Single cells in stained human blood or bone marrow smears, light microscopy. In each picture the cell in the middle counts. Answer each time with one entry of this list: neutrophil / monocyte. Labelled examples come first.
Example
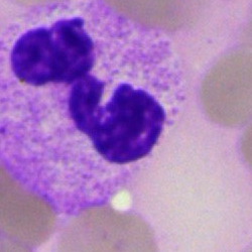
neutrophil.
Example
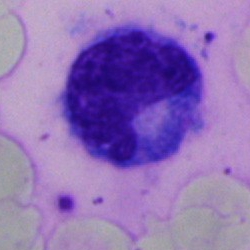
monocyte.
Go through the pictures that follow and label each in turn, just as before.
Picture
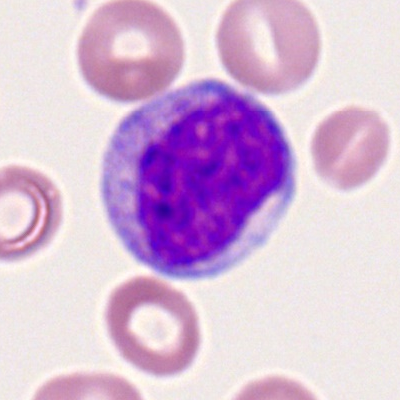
monocyte.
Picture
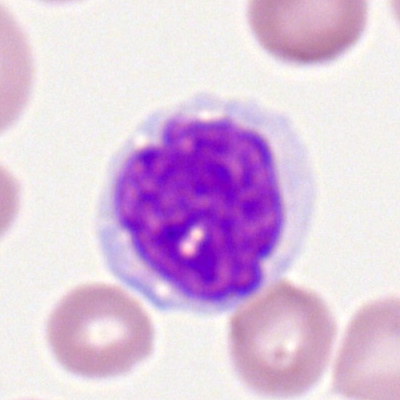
monocyte.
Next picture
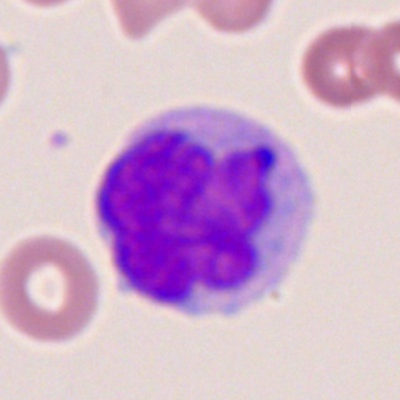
monocyte.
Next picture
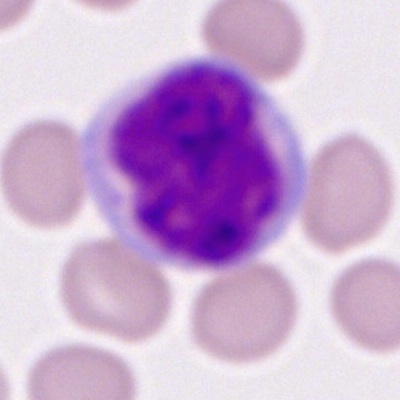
monocyte.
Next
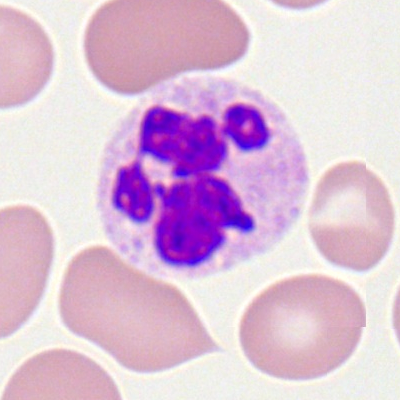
neutrophil.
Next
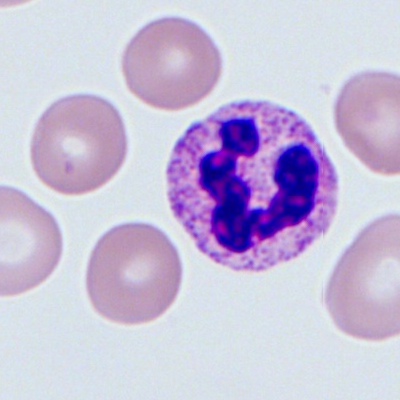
neutrophil.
